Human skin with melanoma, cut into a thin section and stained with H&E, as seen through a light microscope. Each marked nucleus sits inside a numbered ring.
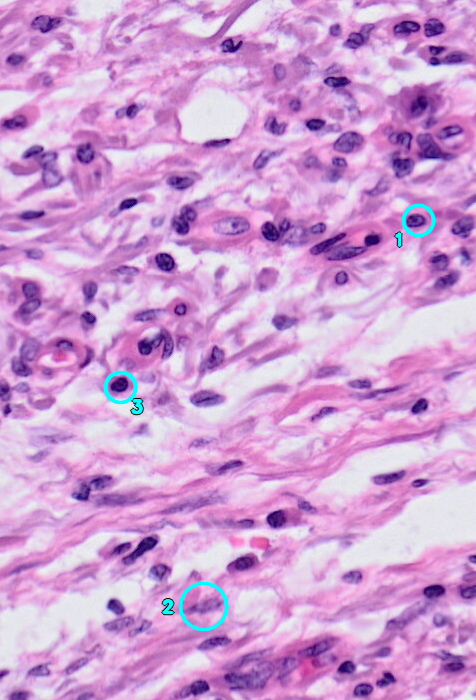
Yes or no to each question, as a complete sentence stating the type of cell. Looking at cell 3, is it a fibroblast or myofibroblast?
No, the cell marked 3 is a plasma cell rather than a fibroblast or myofibroblast.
